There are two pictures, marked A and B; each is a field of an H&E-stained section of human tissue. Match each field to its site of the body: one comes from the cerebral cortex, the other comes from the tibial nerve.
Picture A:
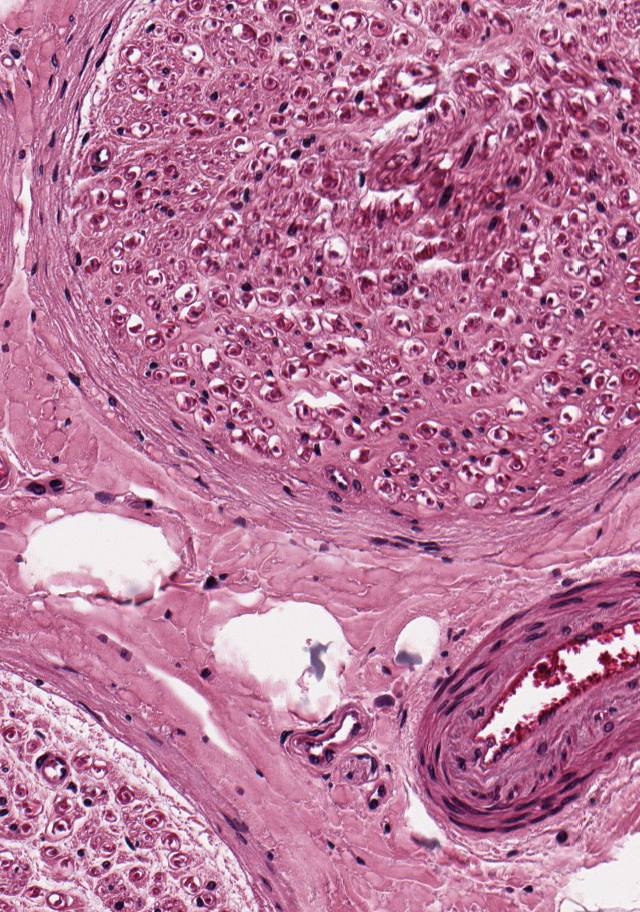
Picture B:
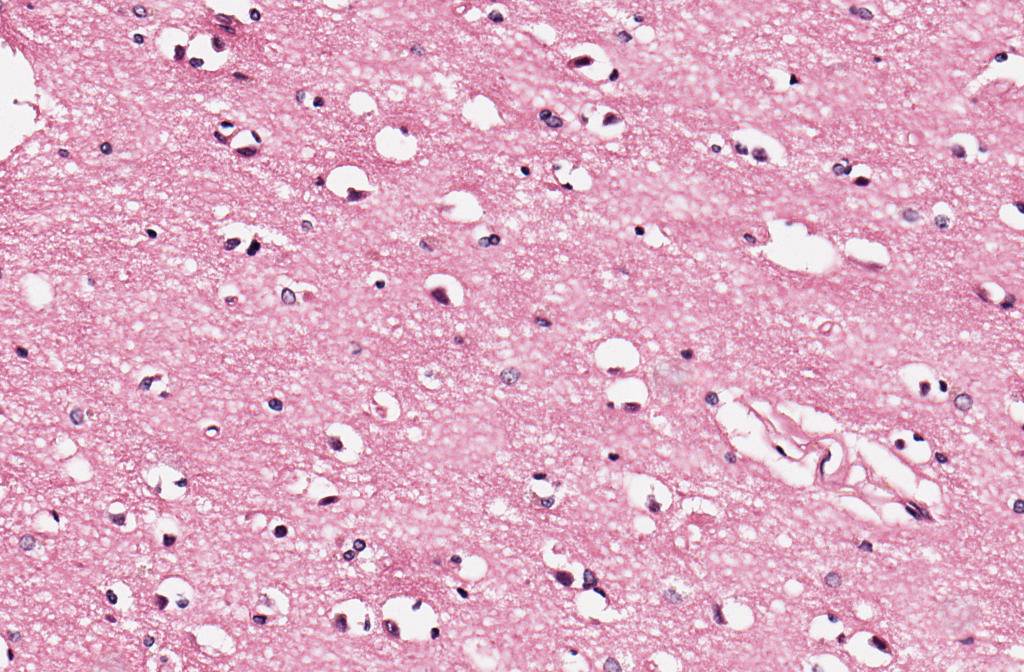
A: tibial nerve
B: cerebral cortex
